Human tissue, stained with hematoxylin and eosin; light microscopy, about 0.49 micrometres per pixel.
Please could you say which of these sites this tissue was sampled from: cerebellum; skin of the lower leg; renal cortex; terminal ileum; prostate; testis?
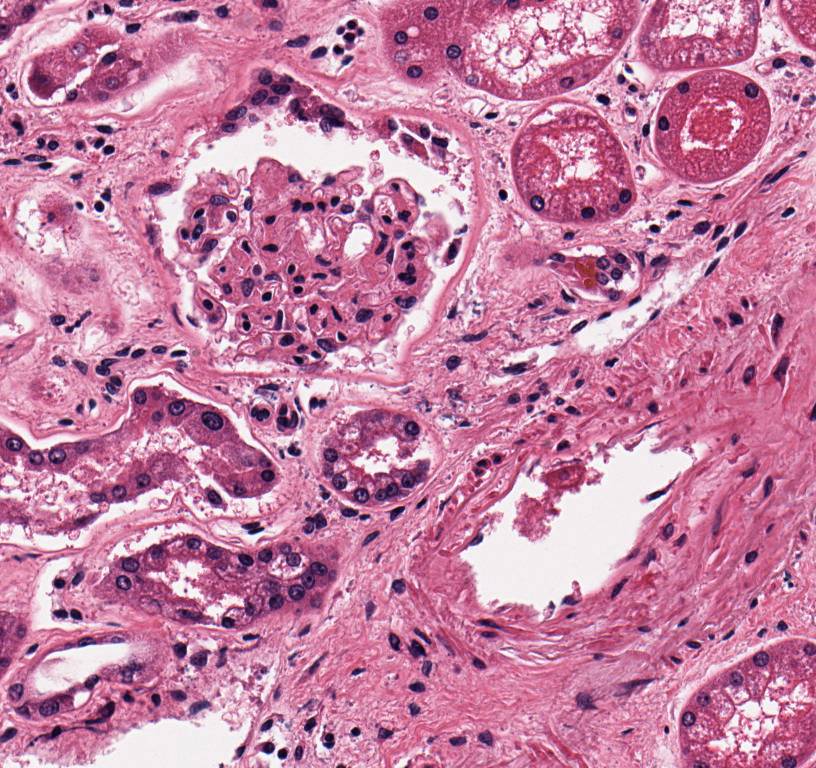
renal cortex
